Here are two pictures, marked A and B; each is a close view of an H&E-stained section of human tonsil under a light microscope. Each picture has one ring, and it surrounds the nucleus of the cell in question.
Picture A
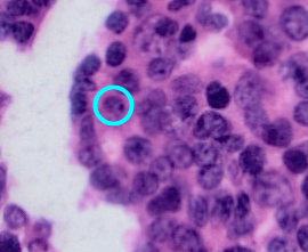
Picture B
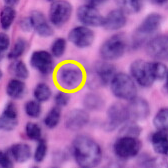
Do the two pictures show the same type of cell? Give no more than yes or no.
yes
